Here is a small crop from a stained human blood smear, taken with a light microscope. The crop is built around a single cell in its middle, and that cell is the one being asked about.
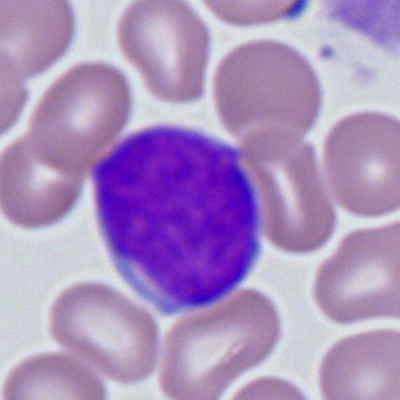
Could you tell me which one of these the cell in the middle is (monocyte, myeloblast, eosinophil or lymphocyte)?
myeloblast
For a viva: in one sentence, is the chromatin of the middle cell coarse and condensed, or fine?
You can see that its chromatin is coarsely clumped.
